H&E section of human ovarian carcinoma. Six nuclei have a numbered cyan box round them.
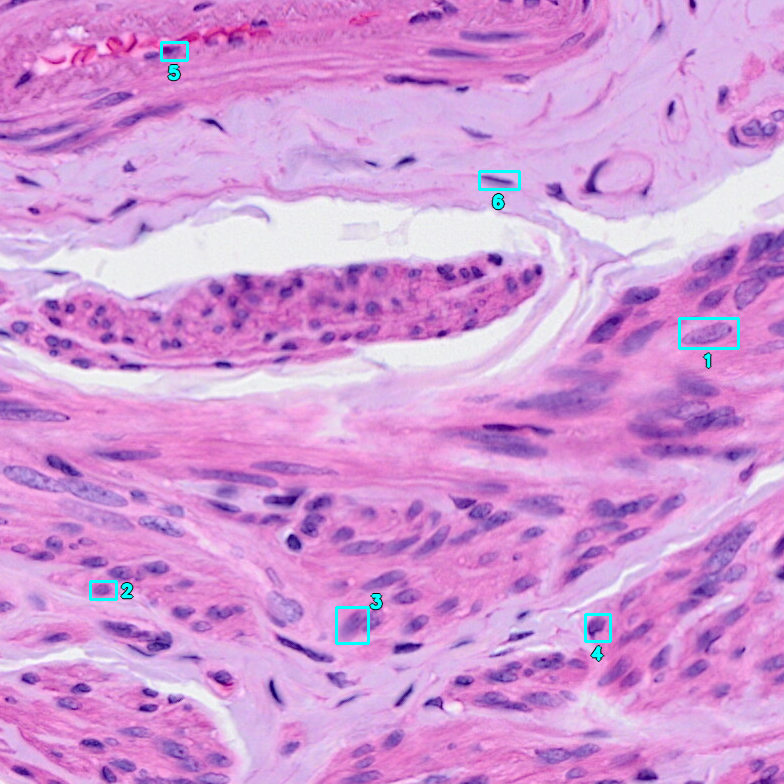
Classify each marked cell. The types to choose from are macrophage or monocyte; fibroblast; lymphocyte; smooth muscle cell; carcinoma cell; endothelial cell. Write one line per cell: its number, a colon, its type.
1: smooth muscle cell
2: smooth muscle cell
3: smooth muscle cell
4: smooth muscle cell
5: endothelial cell
6: fibroblast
